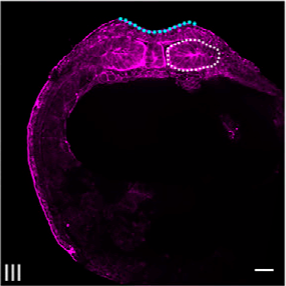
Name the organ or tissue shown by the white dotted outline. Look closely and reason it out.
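The outlined block lies on one side of the dorsal midline, beneath the surface layer. It is a compact group of cells with its own sharp boundary. A matching block lies on the other side of the midline. That points to this answer: Somitic mesoderm.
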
